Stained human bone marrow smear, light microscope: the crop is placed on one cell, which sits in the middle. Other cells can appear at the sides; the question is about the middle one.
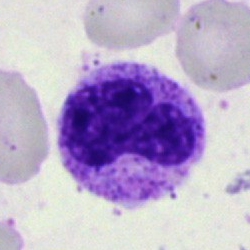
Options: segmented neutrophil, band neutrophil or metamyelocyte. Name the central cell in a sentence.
The cell positioned in the middle of the field is a band neutrophil.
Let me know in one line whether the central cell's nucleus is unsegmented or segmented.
Key feature: a single compact nucleus, round, oval or kidney-shaped.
